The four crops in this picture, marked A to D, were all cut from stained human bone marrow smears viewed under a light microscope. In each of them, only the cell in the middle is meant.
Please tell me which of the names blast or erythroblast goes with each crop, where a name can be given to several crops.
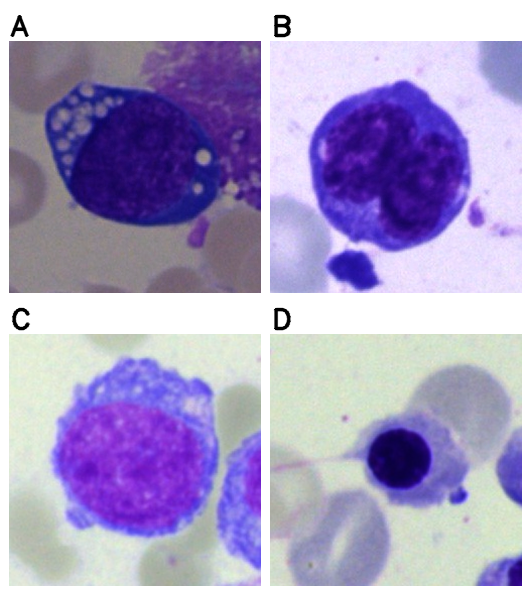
A: blast
B: blast
C: blast
D: erythroblast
